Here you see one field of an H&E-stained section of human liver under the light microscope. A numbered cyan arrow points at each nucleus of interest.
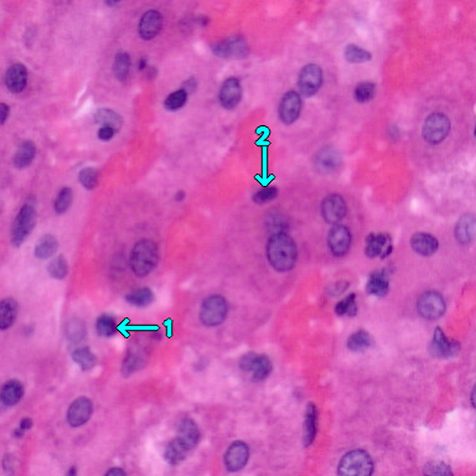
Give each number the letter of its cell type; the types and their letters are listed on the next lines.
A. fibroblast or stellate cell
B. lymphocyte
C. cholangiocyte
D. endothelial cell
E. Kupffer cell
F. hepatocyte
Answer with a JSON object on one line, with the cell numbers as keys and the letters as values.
{"1": "B", "2": "A"}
